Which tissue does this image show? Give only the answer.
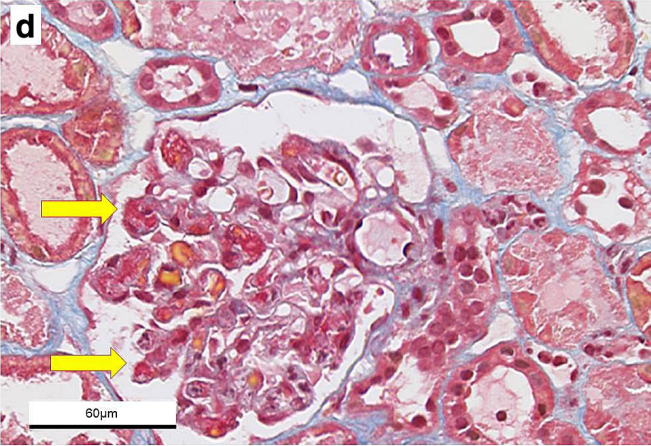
Glomerulus.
